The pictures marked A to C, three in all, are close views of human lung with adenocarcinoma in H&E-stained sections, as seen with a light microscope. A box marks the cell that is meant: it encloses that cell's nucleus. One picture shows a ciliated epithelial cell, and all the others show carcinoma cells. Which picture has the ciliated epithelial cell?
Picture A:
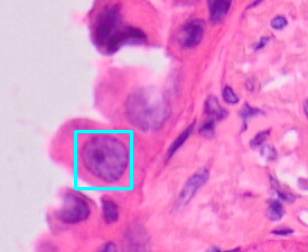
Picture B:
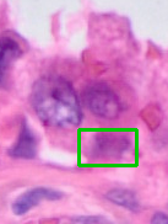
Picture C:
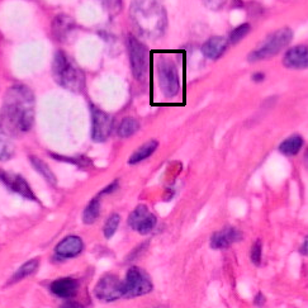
C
